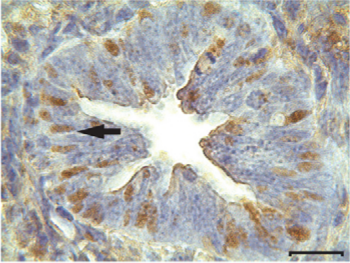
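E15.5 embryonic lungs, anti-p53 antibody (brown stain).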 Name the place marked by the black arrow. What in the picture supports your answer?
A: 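Brown stain sits in oval nuclear profiles among the blue nuclei. The arrow points at a brown-stained nucleus in the epithelial lining. So: nuclear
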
